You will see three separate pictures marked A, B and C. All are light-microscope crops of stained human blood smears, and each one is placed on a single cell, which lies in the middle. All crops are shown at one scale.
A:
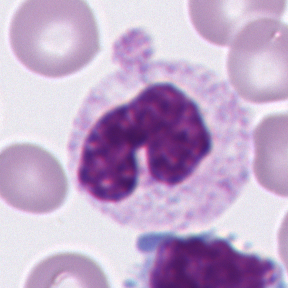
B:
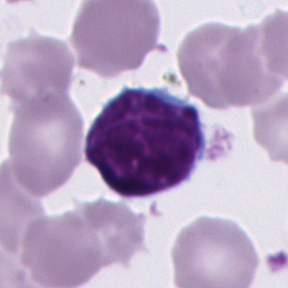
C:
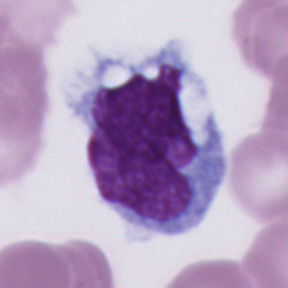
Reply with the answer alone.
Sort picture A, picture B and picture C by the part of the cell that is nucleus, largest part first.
B, C, A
